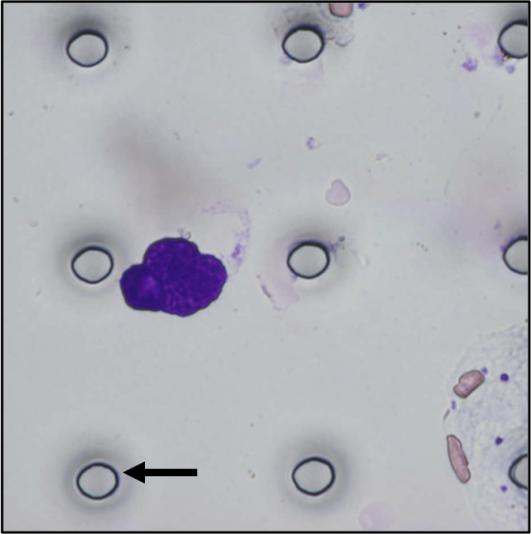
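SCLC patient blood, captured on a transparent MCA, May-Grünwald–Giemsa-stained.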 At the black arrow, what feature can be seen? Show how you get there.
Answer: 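The arrow points to a small round ring with a dark rim. Identical round rings are spaced in a regular grid across the field.
Conclusion: microcavity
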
